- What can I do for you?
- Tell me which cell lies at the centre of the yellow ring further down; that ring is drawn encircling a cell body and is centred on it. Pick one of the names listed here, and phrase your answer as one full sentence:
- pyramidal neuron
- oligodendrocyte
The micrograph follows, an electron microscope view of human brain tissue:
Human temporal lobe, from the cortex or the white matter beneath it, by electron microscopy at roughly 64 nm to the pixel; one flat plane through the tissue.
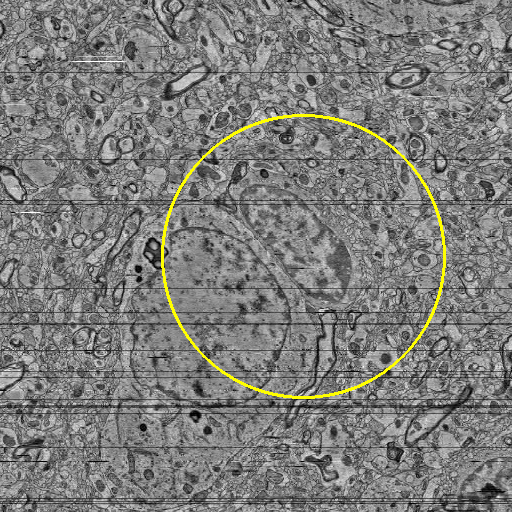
The cell whose body lies at the centre of the yellow ring is an oligodendrocyte.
